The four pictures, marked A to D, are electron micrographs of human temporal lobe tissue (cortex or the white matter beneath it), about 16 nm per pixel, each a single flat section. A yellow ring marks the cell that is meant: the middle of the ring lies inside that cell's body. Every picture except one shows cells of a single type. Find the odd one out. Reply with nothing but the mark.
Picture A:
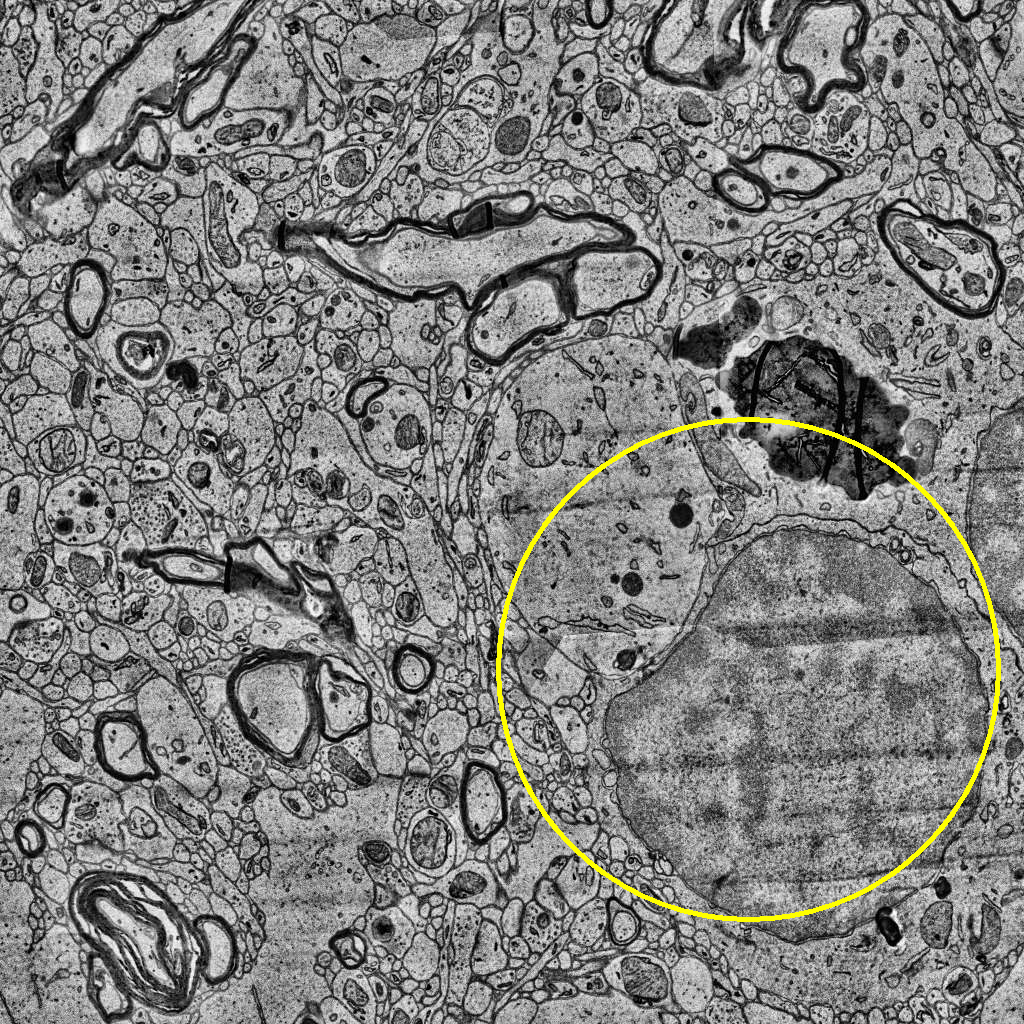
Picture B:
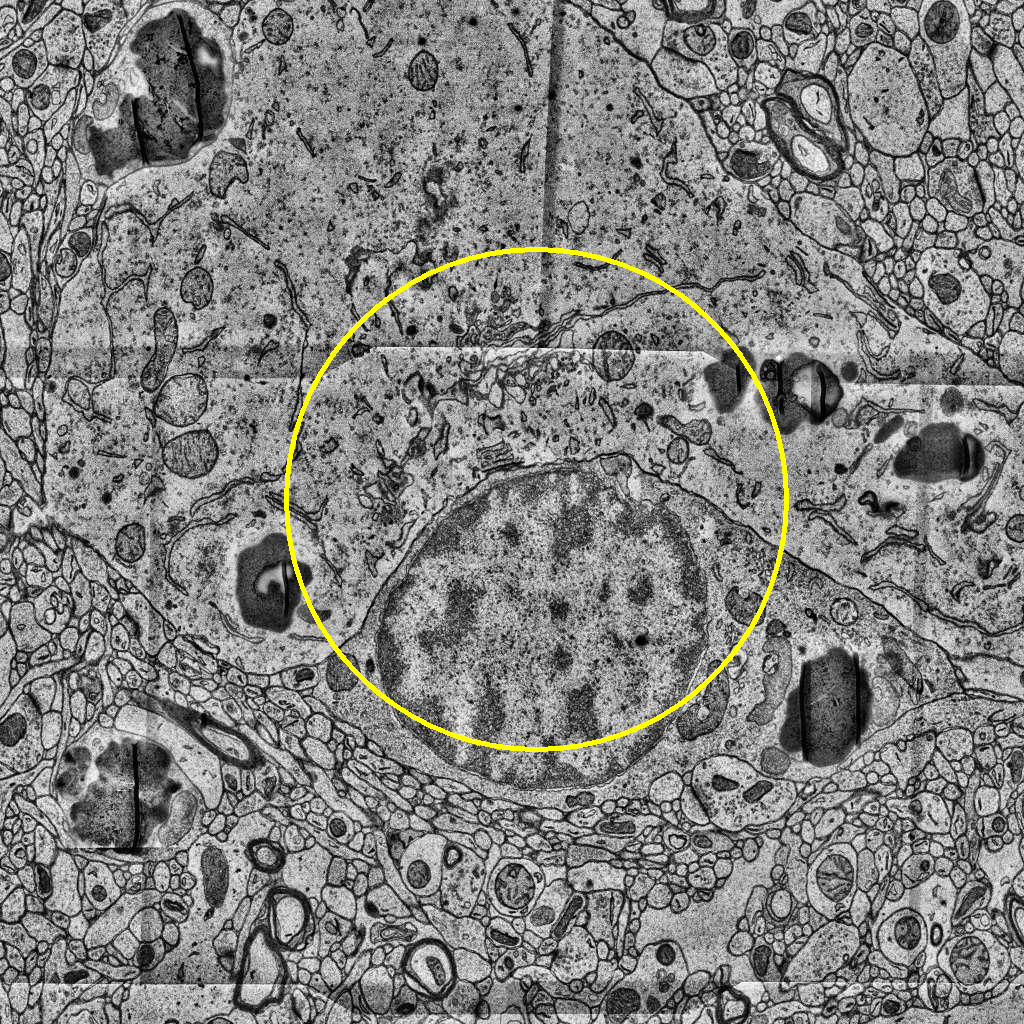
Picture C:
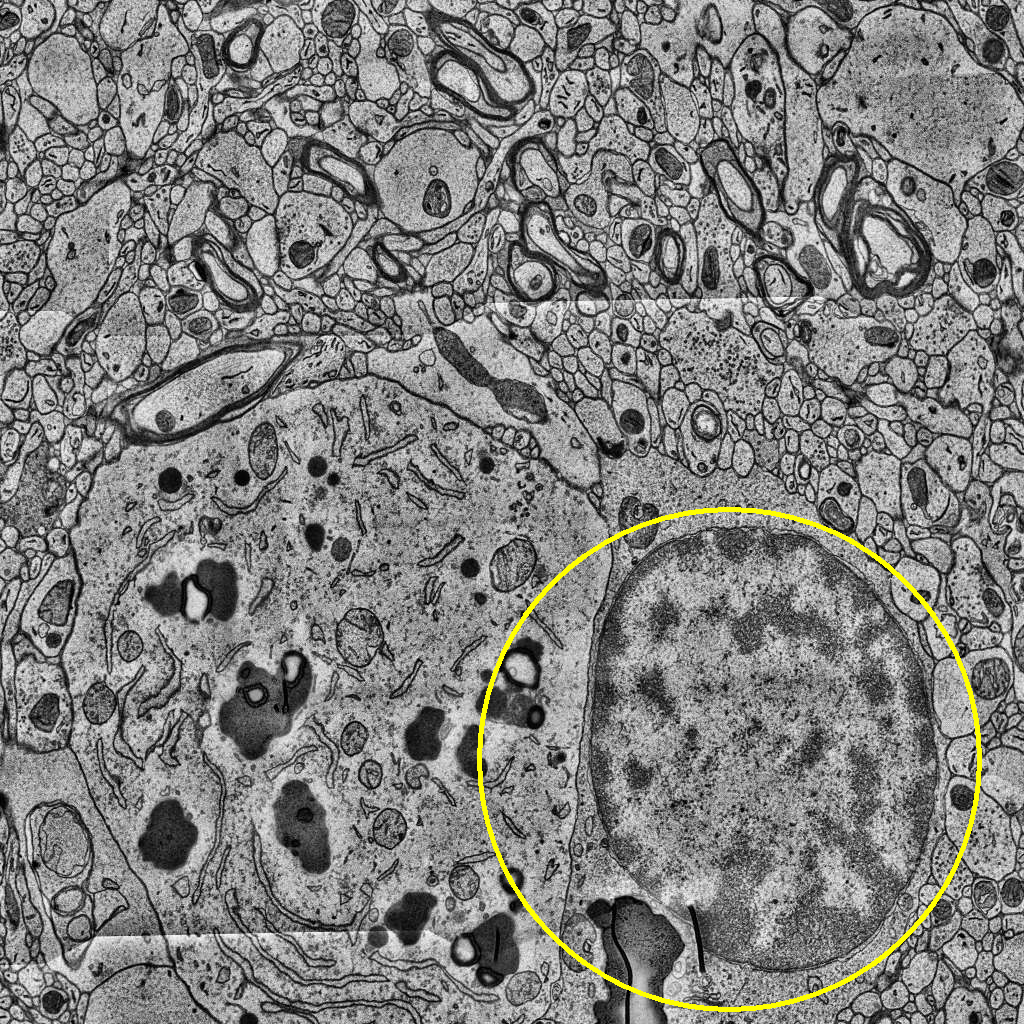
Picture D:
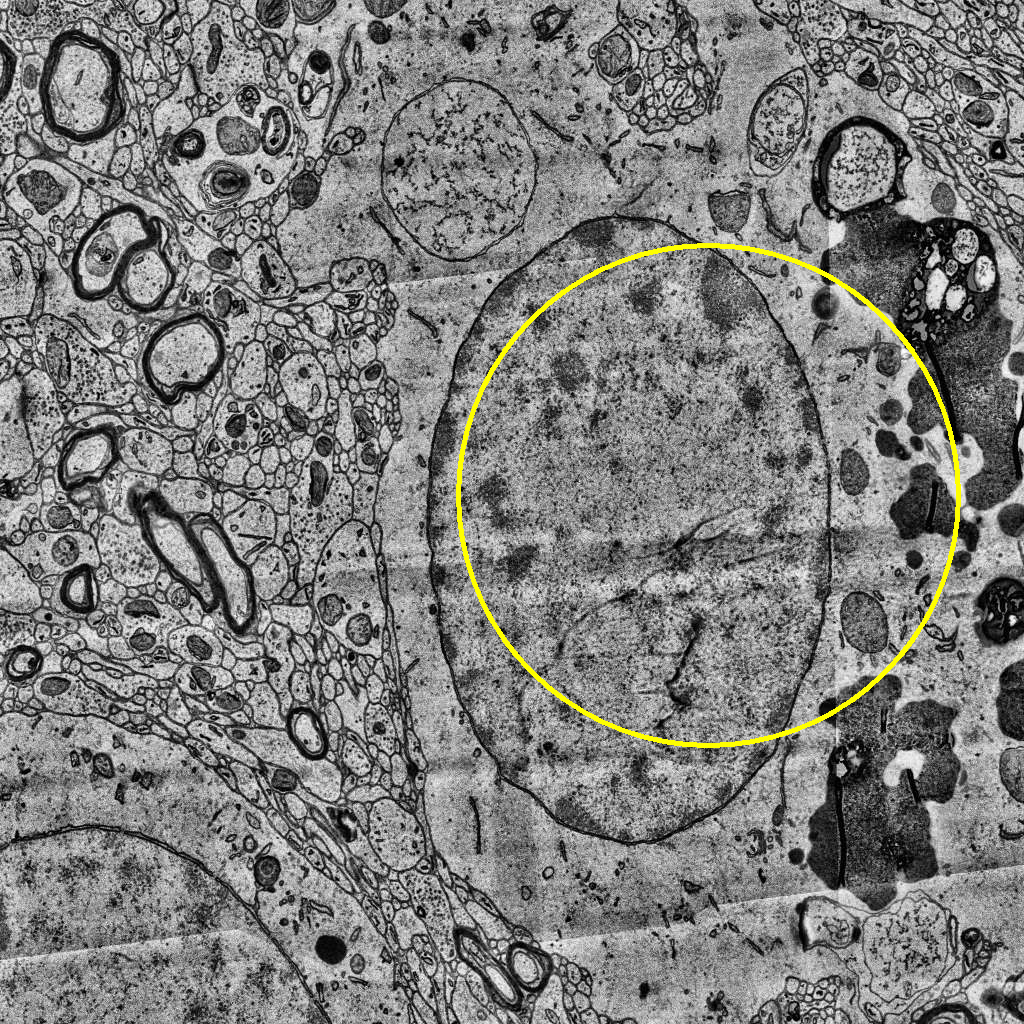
D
